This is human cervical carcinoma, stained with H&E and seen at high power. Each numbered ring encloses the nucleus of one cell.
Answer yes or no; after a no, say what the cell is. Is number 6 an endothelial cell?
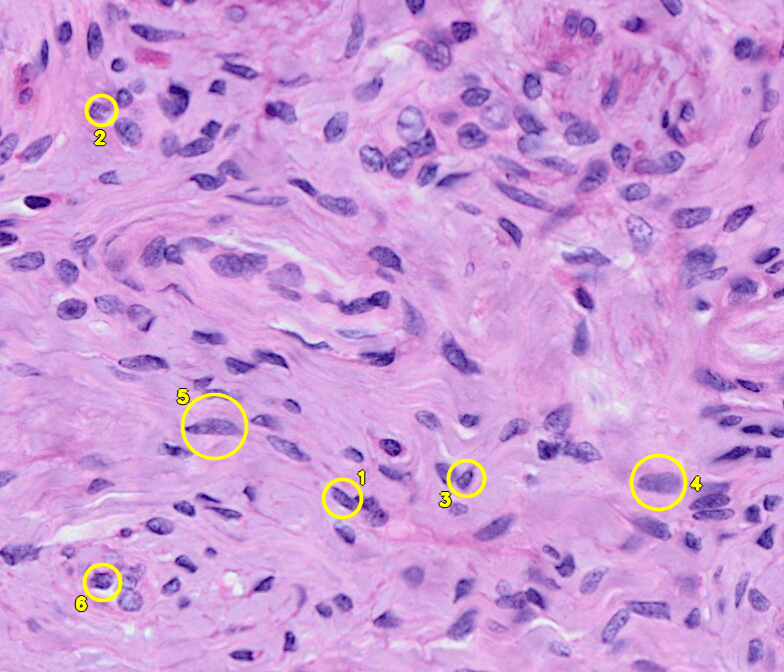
Yes.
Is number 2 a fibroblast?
No, it is an endothelial cell.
